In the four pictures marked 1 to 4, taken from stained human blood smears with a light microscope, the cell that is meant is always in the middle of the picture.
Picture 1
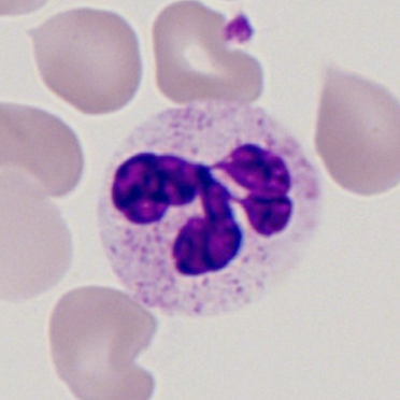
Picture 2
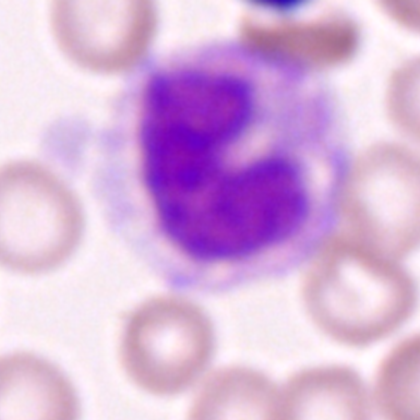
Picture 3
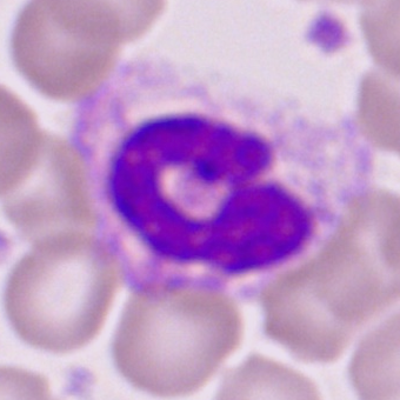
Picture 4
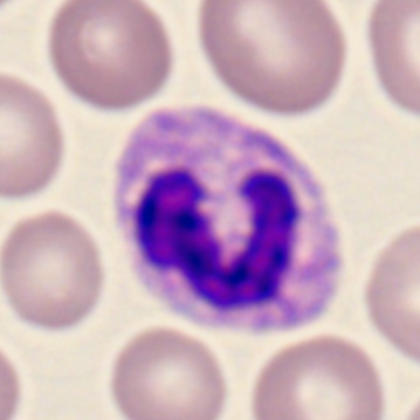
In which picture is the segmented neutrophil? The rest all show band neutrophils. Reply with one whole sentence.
It is picture 1 that shows the segmented neutrophil.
